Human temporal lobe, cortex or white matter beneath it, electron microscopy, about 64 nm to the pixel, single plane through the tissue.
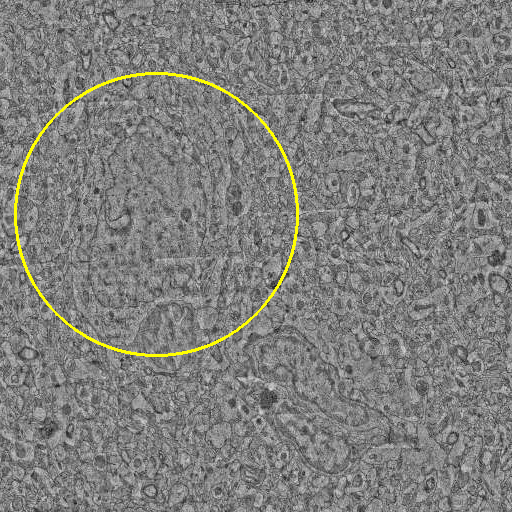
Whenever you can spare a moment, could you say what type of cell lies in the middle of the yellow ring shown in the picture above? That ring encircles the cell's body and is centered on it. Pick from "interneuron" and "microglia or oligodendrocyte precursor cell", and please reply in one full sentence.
The cell whose body sits at the middle of the yellow ring is an interneuron.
